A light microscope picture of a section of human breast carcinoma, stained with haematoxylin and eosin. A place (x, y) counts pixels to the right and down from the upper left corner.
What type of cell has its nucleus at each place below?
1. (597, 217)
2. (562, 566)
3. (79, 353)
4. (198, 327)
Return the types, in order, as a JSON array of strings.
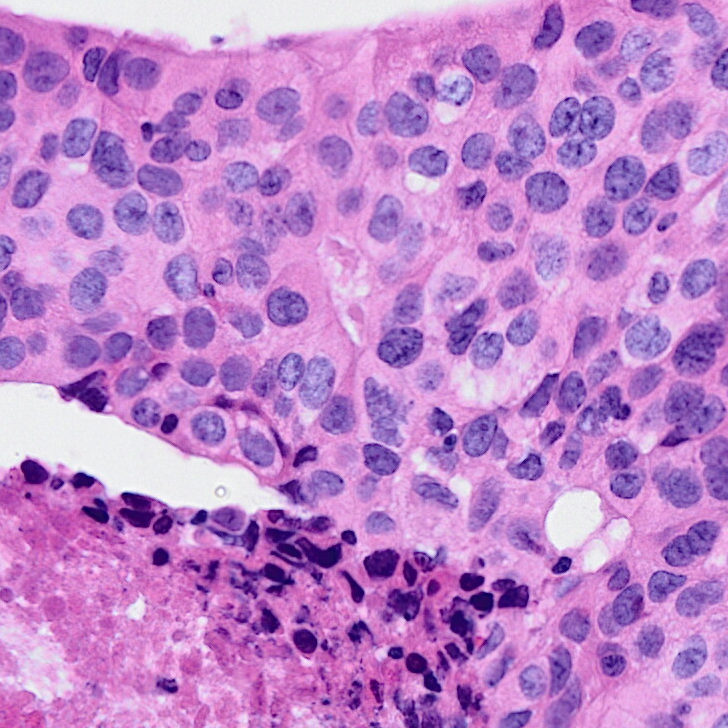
["carcinoma cell", "lymphocyte", "carcinoma cell", "carcinoma cell"]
